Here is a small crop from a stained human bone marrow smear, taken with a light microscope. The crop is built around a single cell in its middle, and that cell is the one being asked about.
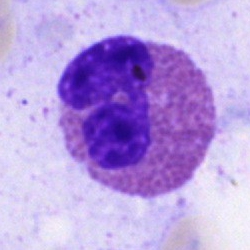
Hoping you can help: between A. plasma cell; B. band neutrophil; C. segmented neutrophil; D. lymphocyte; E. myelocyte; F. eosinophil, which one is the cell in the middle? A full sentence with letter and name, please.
The correct response is option F, naming the cell in the middle as an eosinophil.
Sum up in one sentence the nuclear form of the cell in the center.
This cell has a nucleus made up of two or more segments.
